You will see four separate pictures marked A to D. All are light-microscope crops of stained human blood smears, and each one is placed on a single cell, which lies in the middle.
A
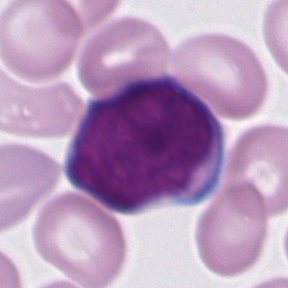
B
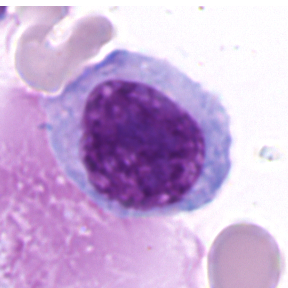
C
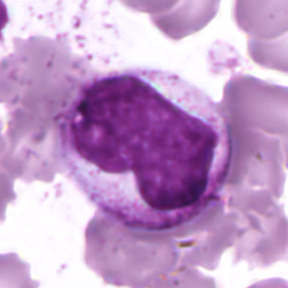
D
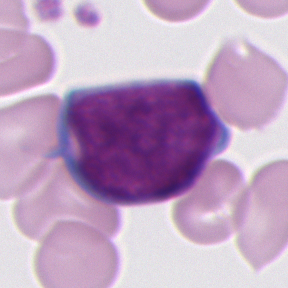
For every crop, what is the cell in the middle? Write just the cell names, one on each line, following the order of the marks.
myeloblast
plasma cell
metamyelocyte
myeloblast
